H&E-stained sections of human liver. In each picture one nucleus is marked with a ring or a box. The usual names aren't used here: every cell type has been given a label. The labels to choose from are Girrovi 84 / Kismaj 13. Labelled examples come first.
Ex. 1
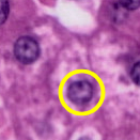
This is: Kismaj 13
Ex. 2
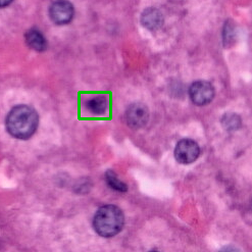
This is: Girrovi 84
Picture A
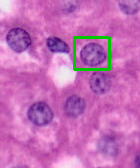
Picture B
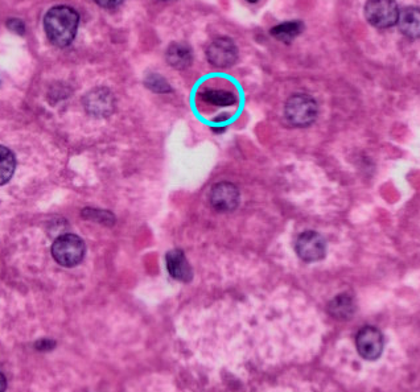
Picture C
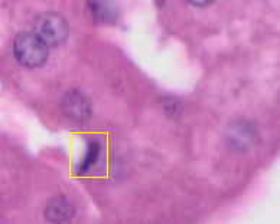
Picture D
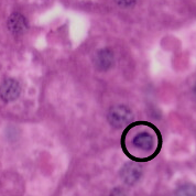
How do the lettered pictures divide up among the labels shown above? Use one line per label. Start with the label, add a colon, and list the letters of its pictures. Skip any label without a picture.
Girrovi 84: B, C, D
Kismaj 13: A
